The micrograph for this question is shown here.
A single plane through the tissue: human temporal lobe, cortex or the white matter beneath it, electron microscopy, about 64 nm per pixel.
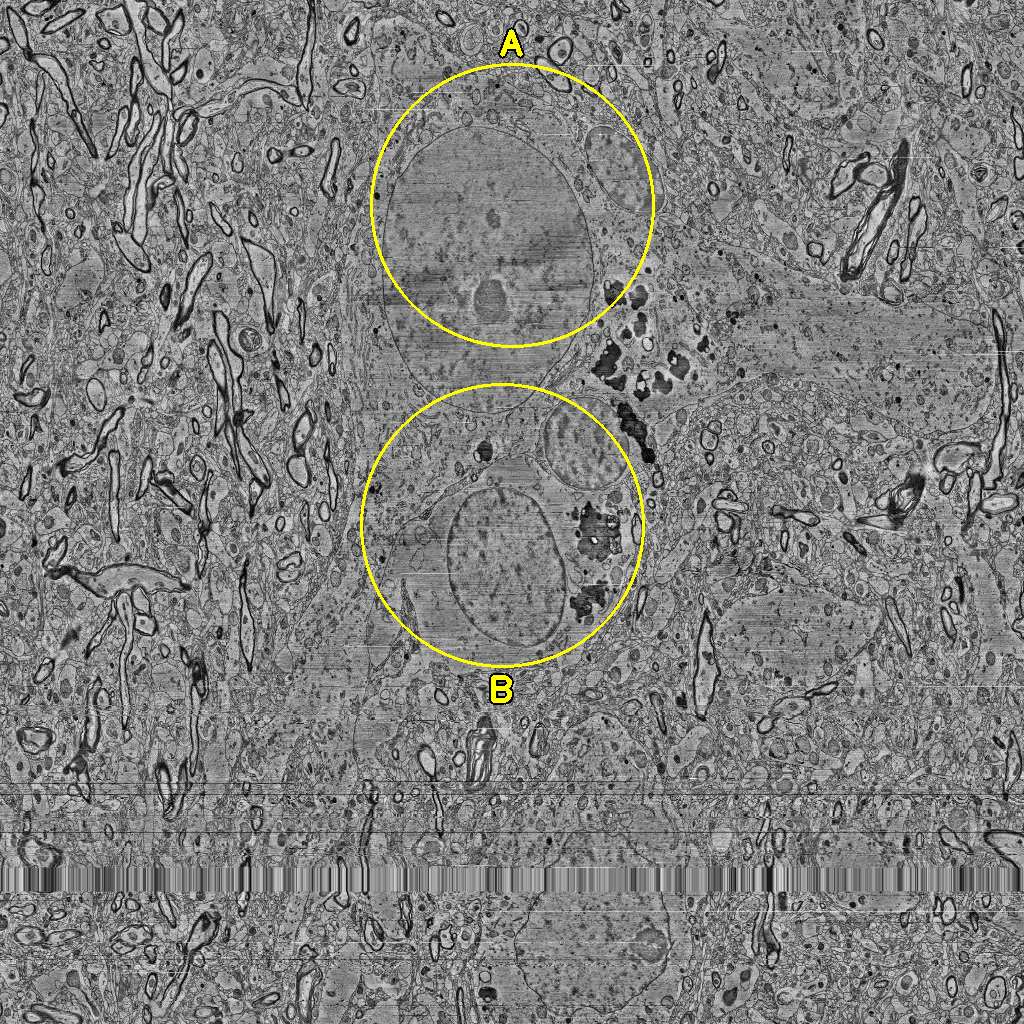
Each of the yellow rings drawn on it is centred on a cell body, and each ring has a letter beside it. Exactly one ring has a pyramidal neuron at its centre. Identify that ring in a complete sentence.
The ring centred on it is ring A.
